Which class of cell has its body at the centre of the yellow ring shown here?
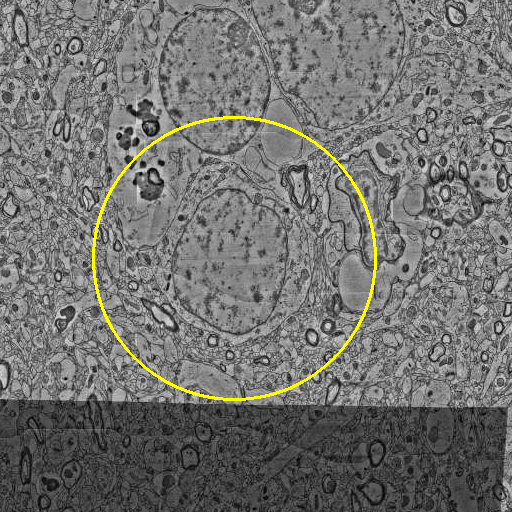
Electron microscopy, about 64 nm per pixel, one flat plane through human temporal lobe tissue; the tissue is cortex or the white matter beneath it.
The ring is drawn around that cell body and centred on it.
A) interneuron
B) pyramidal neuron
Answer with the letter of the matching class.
B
